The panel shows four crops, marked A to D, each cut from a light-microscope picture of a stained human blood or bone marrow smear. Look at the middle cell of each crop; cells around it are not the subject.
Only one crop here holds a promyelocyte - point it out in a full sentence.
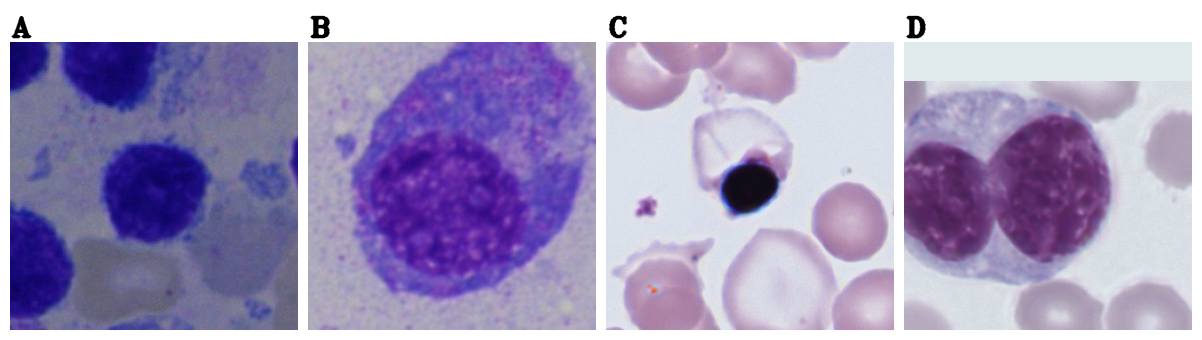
Crop B is the correct crop, and it shows a promyelocyte.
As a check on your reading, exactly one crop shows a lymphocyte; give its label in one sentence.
The one crop that shows a lymphocyte is crop A.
